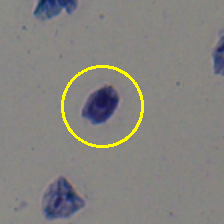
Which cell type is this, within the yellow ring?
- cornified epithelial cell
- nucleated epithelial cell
Within the ring is a nucleated epithelial cell.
